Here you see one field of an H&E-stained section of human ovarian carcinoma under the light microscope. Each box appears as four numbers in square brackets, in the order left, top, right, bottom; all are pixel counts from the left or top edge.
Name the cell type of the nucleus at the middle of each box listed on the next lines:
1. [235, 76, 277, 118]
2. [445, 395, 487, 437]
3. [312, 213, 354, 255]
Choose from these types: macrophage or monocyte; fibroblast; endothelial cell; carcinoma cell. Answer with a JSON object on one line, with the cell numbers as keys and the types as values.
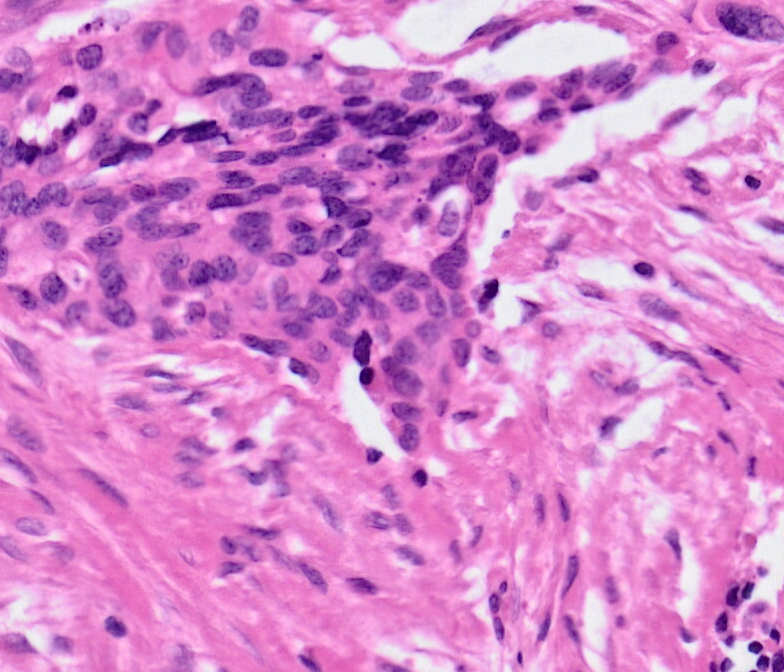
{"1": "carcinoma cell", "2": "fibroblast", "3": "carcinoma cell"}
